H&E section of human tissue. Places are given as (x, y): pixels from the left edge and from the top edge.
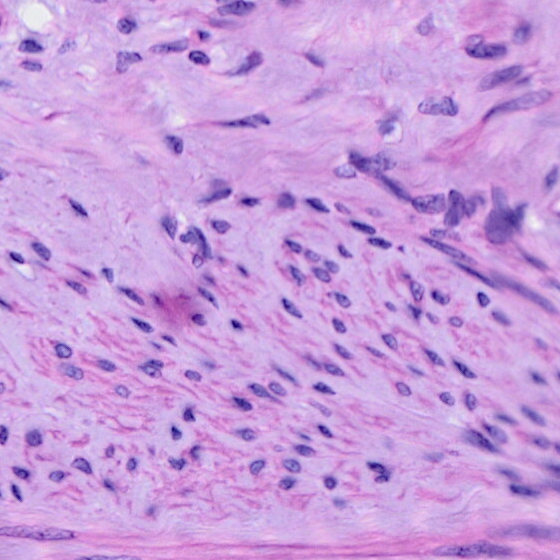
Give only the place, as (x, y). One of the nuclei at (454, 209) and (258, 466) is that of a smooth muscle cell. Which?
(258, 466)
